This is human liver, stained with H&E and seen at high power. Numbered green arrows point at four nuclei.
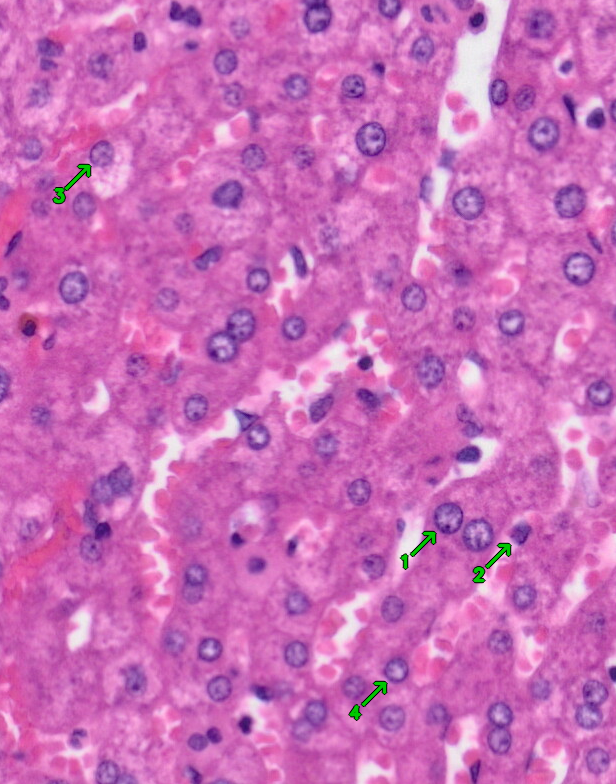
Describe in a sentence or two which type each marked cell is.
Cell 1 is a hepatocyte, cell 2 is an endothelial cell, cell 3 is a hepatocyte and cell 4 is a hepatocyte.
